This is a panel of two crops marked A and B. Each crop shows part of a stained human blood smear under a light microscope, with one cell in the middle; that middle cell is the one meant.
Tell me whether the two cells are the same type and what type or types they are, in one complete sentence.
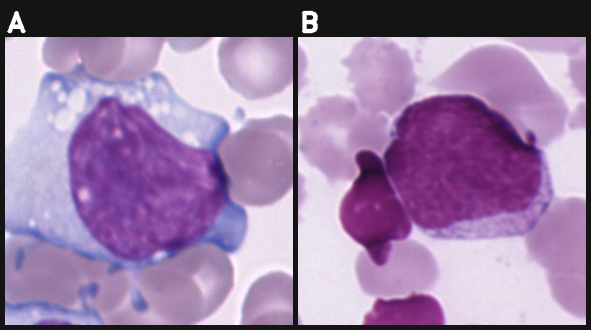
Yes, they do, both crops show myeloblasts.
